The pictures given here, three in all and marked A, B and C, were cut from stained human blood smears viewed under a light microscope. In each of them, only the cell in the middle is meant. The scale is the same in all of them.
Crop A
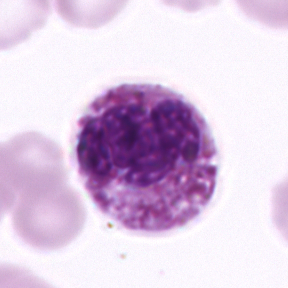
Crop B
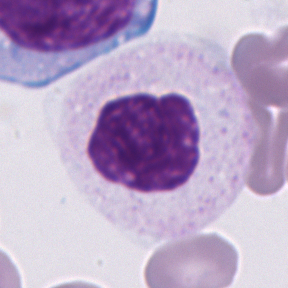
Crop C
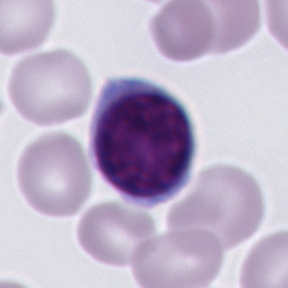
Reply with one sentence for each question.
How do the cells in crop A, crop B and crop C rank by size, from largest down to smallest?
The order is B, A, C, beginning with the largest.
